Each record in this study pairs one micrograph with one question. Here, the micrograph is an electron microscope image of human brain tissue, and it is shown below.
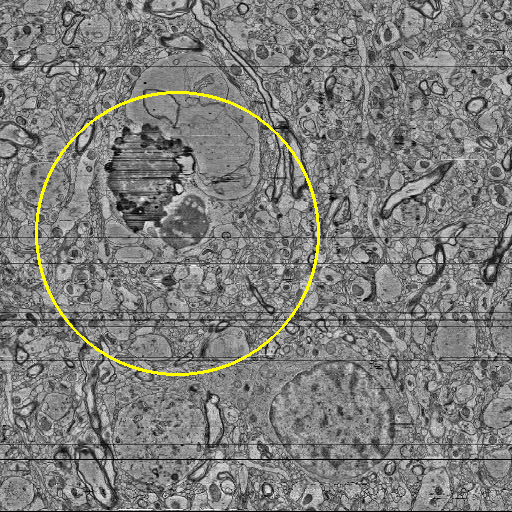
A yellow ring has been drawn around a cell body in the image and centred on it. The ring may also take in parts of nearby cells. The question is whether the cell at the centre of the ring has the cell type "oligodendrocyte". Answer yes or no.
no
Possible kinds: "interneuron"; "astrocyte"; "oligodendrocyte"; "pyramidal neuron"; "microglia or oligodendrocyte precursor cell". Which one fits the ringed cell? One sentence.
The cell shown in the ring is a microglial cell or oligodendrocyte precursor cell.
